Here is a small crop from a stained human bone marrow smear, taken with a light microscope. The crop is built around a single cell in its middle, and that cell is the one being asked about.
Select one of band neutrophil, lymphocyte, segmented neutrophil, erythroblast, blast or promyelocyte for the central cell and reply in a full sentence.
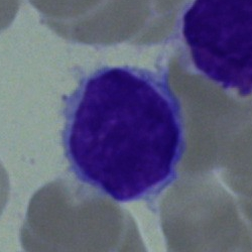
Here the cell in the middle is a lymphocyte.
